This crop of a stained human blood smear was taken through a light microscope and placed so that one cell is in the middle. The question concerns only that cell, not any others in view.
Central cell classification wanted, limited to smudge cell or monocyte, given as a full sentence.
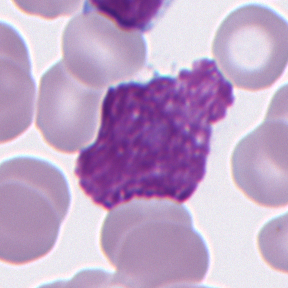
This crop has a smudge cell at its centre.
